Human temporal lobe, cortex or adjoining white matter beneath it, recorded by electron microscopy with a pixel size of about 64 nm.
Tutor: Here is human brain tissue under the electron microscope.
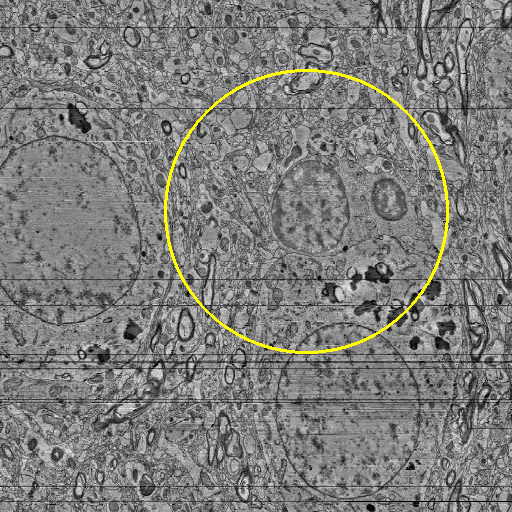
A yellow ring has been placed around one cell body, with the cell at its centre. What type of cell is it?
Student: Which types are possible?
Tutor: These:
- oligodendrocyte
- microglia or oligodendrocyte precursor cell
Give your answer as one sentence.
What the ring picks out here is an oligodendrocyte.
